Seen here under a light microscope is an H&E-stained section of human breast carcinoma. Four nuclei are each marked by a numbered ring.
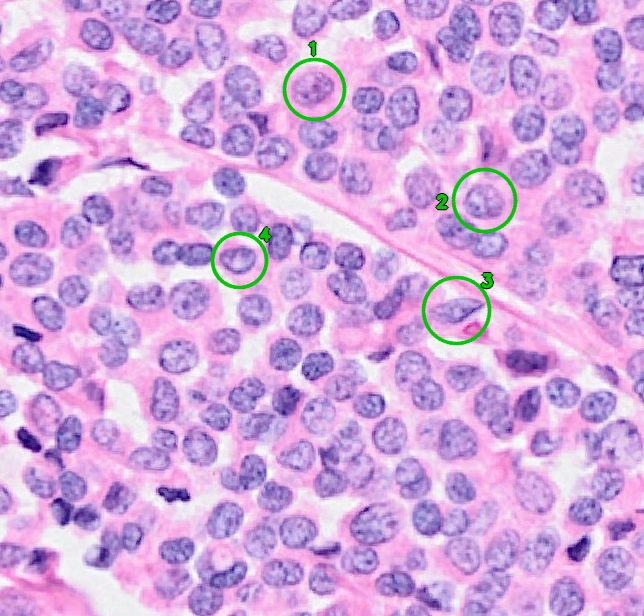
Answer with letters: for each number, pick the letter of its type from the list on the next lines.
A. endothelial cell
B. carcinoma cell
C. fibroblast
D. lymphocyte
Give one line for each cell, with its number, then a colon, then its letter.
1: B
2: B
3: A
4: B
